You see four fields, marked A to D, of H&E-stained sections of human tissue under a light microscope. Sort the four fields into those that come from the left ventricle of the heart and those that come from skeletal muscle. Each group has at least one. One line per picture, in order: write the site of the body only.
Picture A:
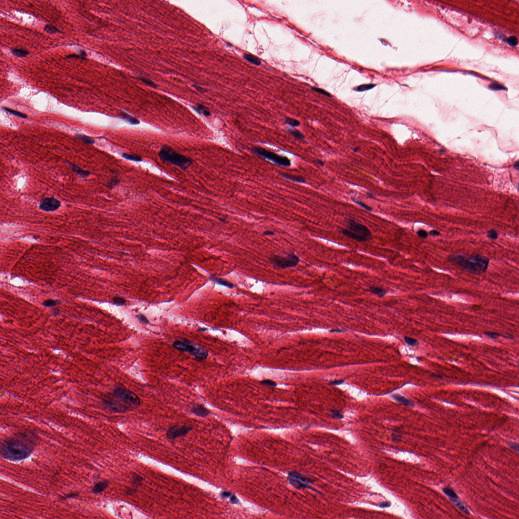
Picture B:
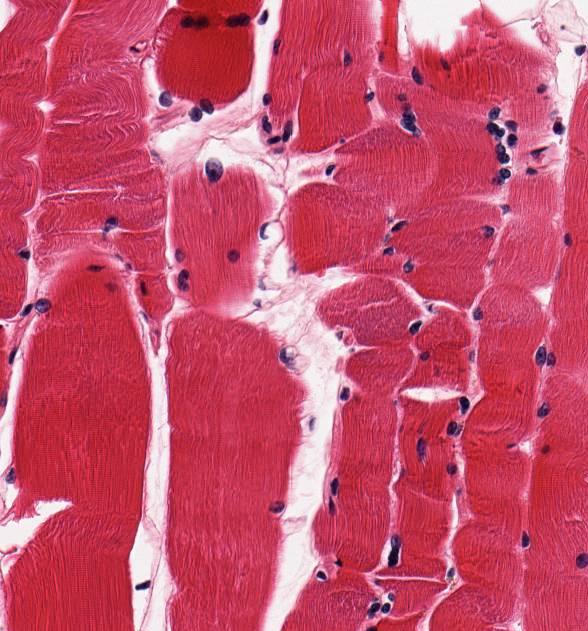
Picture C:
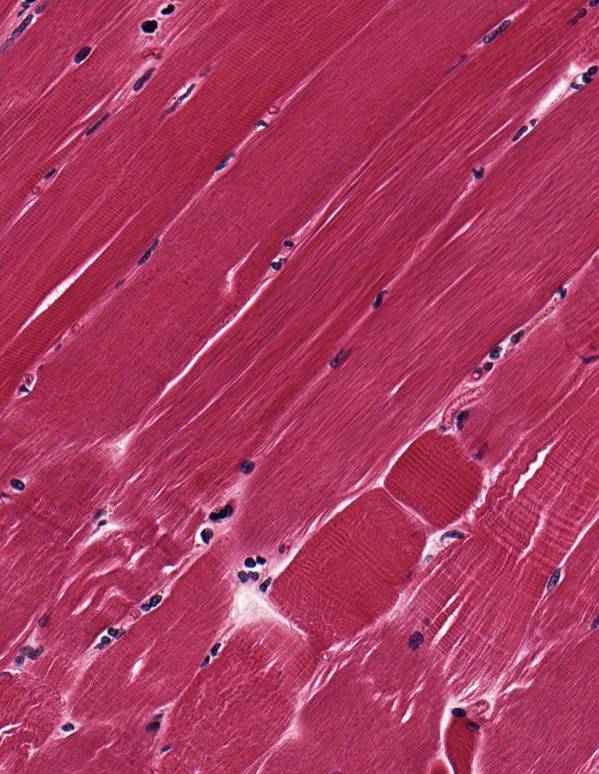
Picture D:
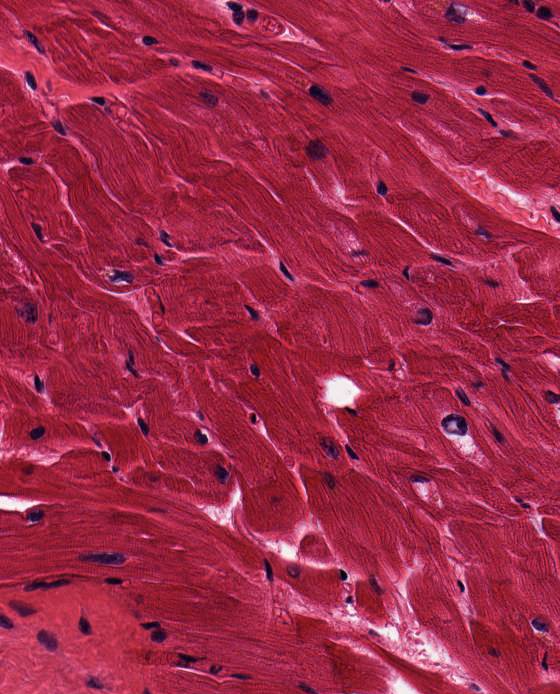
left ventricle of the heart
skeletal muscle
skeletal muscle
left ventricle of the heart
